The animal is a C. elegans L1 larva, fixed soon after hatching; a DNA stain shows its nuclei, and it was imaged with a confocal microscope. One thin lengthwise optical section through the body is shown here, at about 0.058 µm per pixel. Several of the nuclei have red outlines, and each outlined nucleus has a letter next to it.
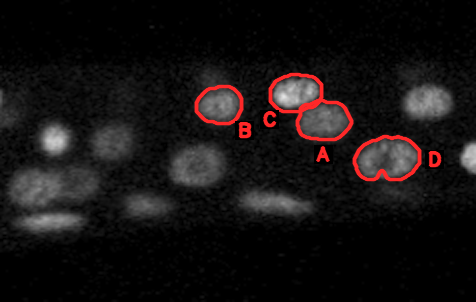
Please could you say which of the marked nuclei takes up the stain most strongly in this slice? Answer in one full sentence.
Nucleus C shows the strongest staining.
